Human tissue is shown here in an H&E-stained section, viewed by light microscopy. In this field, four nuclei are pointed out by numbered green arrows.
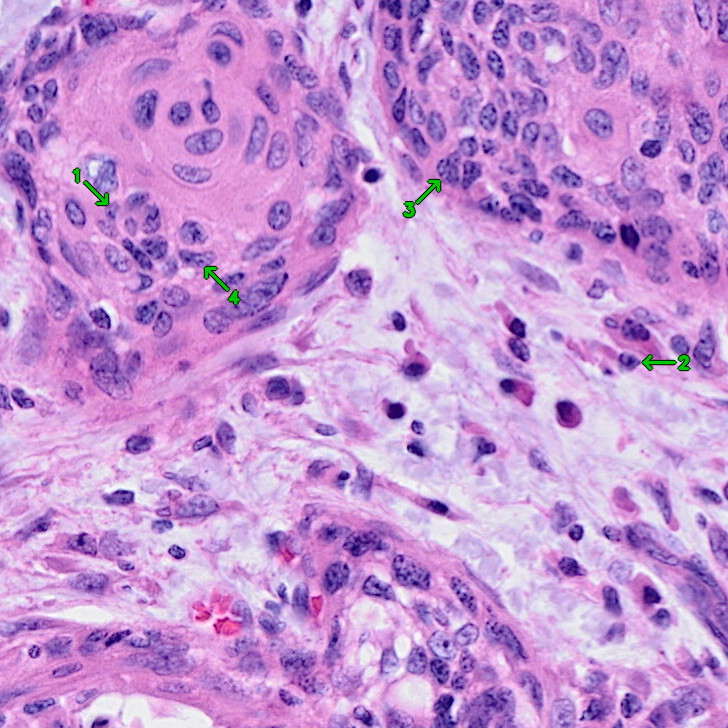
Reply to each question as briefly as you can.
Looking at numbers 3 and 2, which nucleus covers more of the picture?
3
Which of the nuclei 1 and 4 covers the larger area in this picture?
4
